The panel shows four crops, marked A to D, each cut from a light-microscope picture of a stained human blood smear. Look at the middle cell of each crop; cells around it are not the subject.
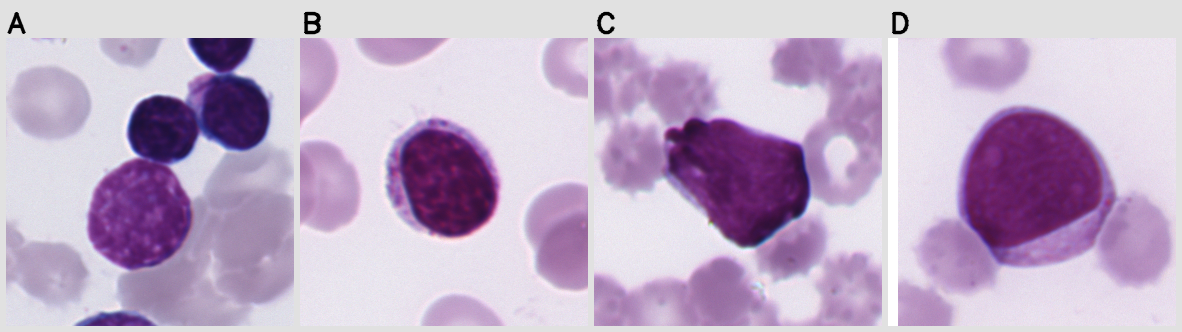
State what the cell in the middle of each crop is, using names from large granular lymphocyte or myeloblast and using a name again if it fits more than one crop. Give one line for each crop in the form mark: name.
A: myeloblast
B: large granular lymphocyte
C: myeloblast
D: myeloblast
